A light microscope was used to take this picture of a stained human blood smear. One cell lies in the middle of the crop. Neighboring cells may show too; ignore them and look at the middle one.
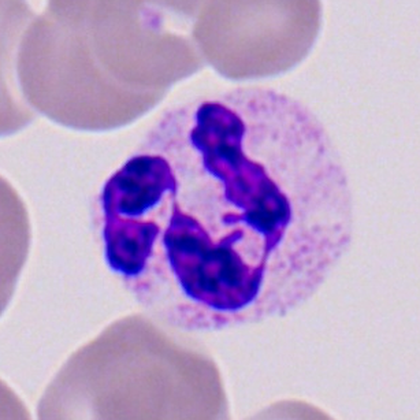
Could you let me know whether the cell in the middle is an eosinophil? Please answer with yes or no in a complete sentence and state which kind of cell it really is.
No, not an eosinophil here; the centered cell is a segmented neutrophil.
